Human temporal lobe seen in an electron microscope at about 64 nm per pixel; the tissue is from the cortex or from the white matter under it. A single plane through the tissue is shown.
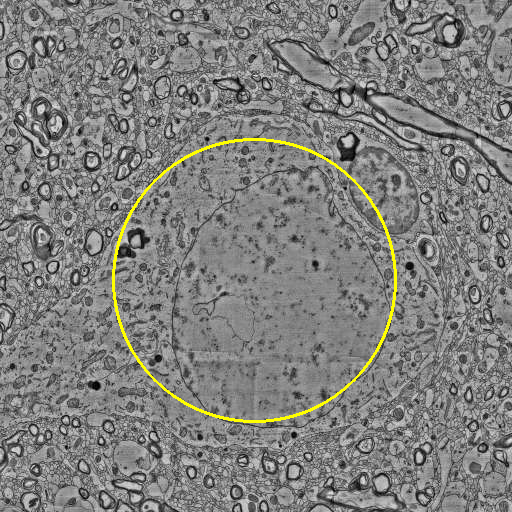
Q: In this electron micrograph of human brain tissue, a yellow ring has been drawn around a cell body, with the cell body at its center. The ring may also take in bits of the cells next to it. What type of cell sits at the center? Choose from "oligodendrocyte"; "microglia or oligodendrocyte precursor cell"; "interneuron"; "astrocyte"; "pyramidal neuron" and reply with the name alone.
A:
pyramidal neuron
